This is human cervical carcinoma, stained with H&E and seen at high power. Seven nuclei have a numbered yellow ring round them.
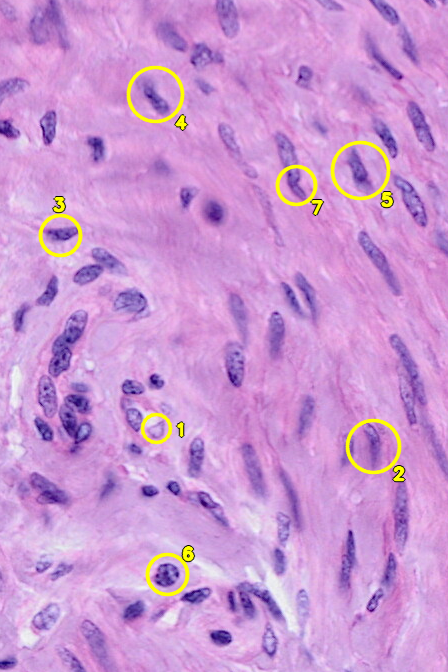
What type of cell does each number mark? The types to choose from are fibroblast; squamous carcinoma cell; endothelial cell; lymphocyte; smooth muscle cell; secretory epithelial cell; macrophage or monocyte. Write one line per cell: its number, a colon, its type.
1: endothelial cell
2: smooth muscle cell
3: fibroblast
4: fibroblast
5: smooth muscle cell
6: lymphocyte
7: smooth muscle cell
